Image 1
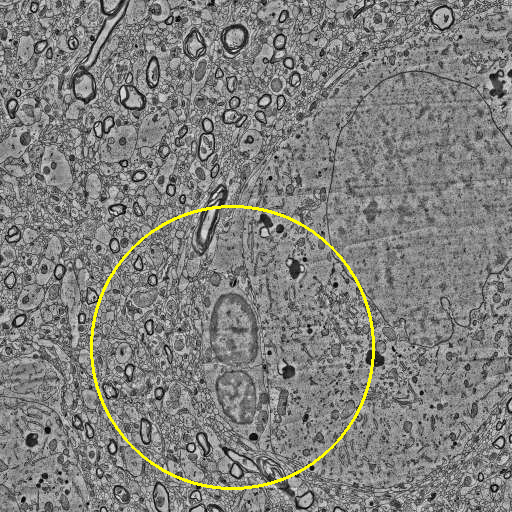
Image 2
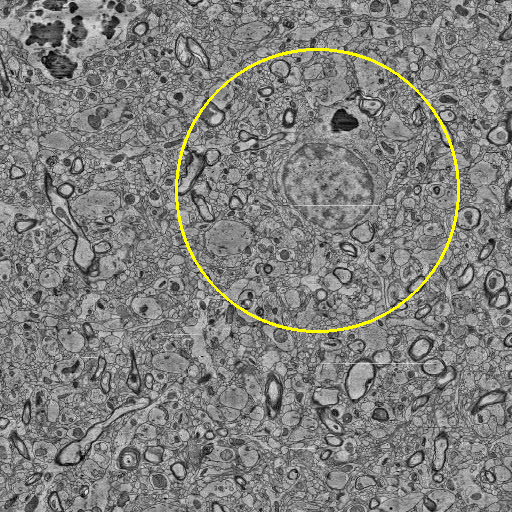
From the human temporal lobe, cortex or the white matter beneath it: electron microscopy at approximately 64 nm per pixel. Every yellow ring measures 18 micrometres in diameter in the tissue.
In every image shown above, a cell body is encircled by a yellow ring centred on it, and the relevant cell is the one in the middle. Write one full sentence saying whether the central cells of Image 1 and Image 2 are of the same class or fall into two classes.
The cell at the ring's centre in Image 1 and its counterpart in Image 2 are of the same class.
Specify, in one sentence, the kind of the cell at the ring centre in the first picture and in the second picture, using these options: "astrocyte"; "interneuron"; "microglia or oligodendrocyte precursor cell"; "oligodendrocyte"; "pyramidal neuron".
Both rings mark an oligodendrocyte, one in each picture.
